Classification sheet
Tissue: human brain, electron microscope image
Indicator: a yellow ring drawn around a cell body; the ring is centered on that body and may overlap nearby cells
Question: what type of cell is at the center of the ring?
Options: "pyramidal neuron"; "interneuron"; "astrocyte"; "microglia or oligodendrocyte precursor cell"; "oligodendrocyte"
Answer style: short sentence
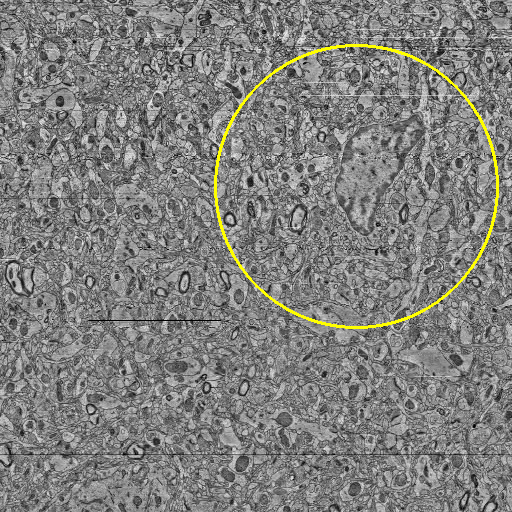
At the ring's center is a microglial cell or oligodendrocyte precursor cell.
